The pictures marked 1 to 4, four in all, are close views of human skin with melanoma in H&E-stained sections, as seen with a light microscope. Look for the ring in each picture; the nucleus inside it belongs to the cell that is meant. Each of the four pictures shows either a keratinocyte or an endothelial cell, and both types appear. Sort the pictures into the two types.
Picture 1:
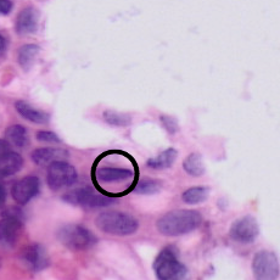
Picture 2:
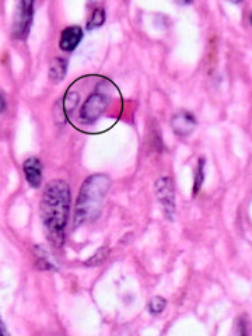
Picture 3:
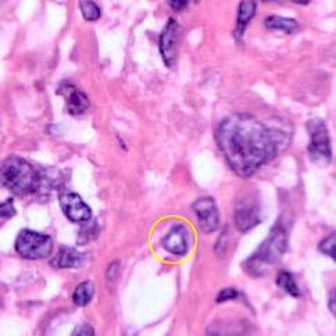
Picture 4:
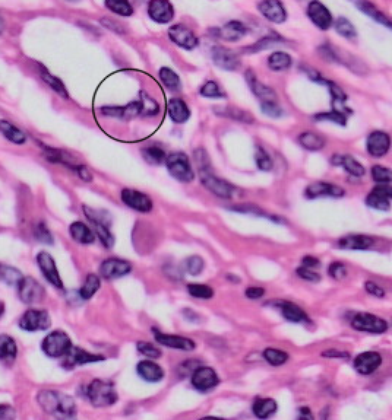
1: keratinocyte
2: endothelial cell
3: endothelial cell
4: endothelial cell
